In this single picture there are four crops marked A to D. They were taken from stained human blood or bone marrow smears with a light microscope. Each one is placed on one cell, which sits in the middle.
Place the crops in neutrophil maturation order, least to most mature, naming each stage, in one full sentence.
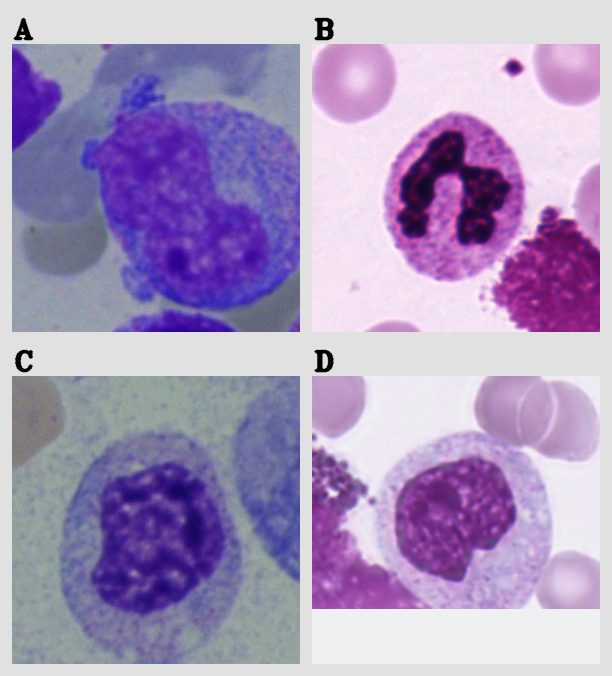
From the least mature to the most mature, the sequence runs crop A (a promyelocyte), crop C (a myelocyte), crop D (a metamyelocyte) and crop B (a segmented neutrophil).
